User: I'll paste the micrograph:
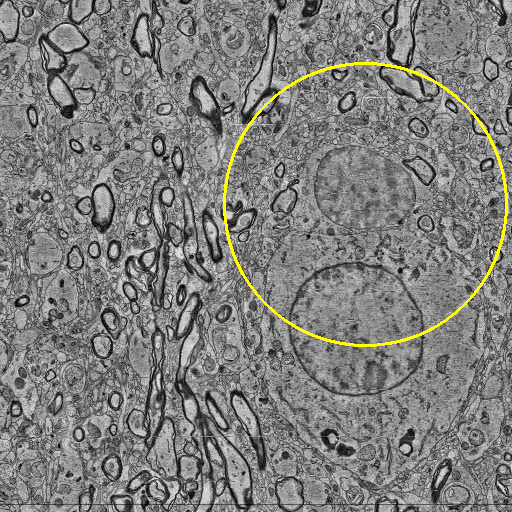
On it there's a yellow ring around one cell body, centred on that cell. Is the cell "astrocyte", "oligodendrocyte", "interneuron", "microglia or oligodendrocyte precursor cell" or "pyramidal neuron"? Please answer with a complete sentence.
The cell ringed in yellow is an oligodendrocyte.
